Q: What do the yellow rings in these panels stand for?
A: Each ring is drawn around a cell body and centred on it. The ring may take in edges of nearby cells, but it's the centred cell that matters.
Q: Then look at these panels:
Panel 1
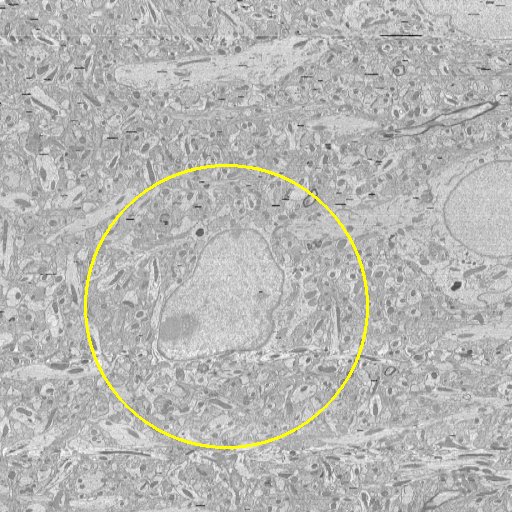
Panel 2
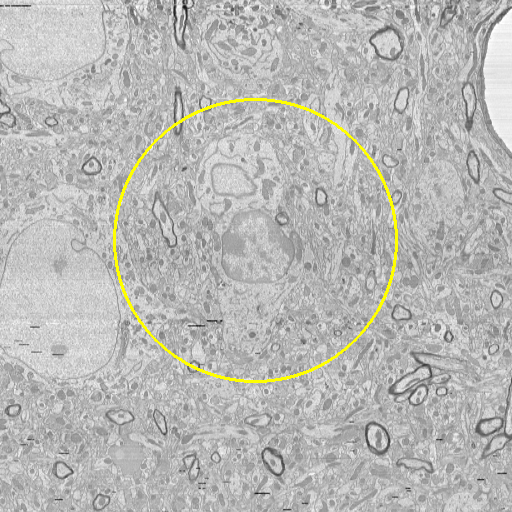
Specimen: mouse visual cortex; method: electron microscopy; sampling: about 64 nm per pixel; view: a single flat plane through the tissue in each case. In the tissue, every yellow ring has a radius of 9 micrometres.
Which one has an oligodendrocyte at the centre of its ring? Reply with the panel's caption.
Panel 2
